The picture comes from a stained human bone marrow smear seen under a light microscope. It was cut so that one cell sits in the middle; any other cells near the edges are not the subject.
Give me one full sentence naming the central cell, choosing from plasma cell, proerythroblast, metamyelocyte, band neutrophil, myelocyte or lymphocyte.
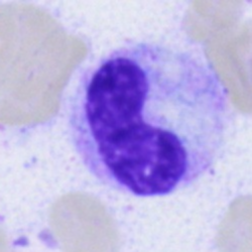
Where the crop is centred, there is a band neutrophil.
